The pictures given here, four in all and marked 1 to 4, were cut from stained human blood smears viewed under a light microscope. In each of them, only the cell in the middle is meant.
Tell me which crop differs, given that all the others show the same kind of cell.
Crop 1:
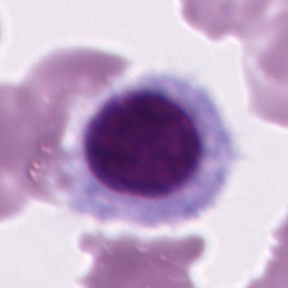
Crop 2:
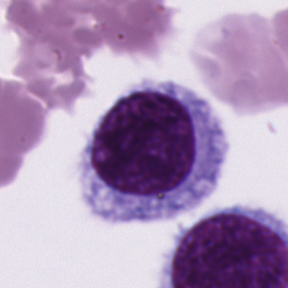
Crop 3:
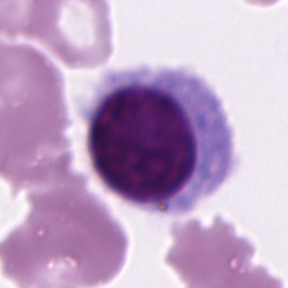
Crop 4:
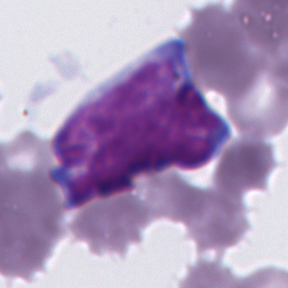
4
